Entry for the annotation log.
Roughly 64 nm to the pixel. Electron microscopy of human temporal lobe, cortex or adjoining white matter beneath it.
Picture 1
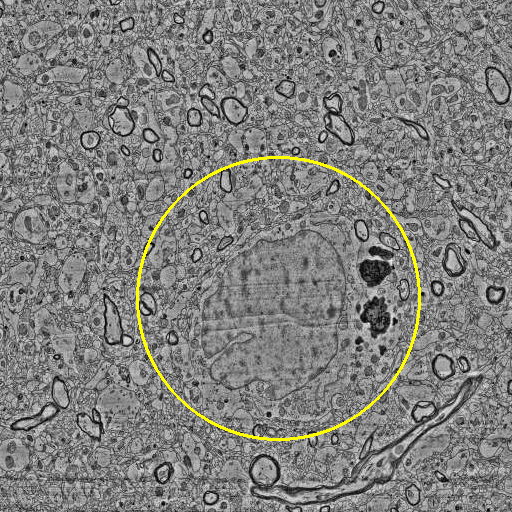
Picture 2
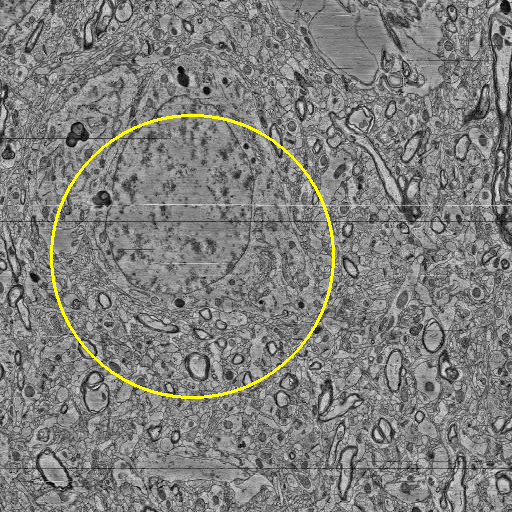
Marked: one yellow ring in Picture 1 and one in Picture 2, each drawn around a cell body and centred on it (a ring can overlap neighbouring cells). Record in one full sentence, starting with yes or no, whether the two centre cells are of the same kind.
No, the two cells are of two kinds.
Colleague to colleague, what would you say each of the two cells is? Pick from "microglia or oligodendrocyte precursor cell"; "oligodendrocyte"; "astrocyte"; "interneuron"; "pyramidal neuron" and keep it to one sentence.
The cell in the first picture is an interneuron; the second picture's cell is a pyramidal neuron.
